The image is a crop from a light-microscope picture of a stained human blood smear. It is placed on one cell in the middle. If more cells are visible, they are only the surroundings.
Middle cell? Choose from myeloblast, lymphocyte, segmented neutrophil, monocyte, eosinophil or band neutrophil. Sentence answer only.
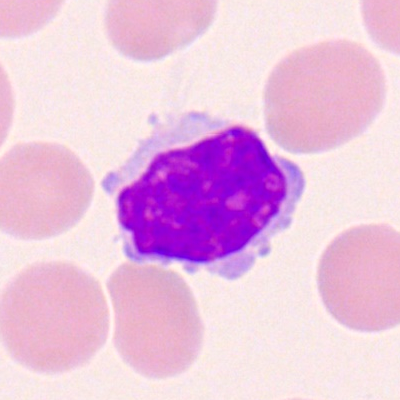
This crop has a lymphocyte at its centre.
